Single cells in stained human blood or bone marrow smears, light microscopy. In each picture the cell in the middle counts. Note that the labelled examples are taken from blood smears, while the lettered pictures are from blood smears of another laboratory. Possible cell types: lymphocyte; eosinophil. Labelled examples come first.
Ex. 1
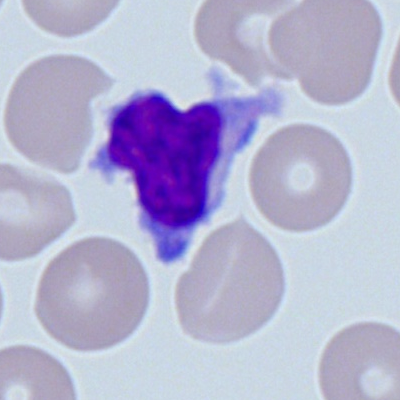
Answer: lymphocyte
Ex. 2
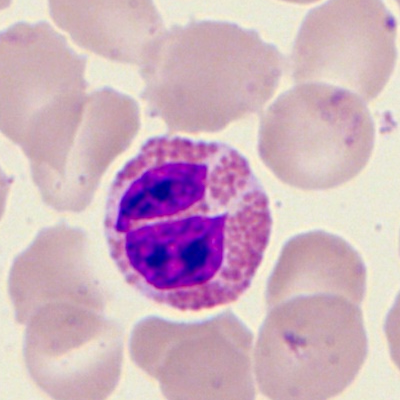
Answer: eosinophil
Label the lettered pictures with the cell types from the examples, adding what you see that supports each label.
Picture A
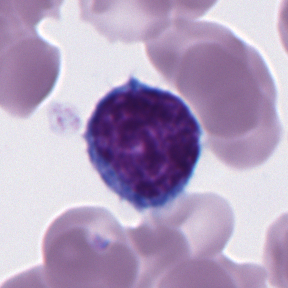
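lymphocyte: The cytoplasm is a deep blue.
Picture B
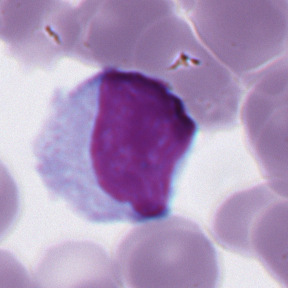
lymphocyte: The cytoplasm shows only fine, faint lilac stippling.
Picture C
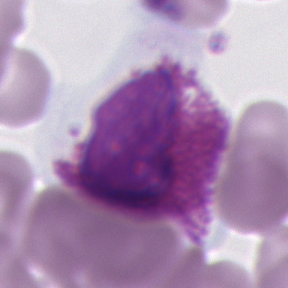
eosinophil: Coarse granules are packed most densely in the cytoplasm on the right side of the cell.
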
